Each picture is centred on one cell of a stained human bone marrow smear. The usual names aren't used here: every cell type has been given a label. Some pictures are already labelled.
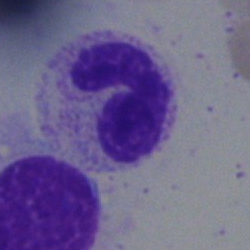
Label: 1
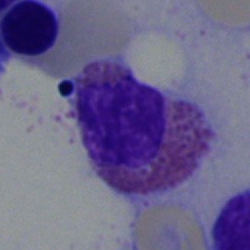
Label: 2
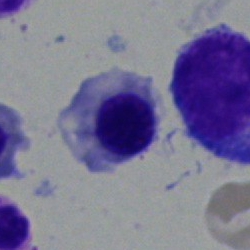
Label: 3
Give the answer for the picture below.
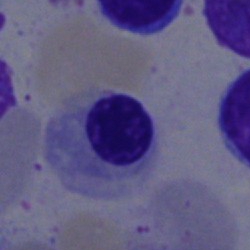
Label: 3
